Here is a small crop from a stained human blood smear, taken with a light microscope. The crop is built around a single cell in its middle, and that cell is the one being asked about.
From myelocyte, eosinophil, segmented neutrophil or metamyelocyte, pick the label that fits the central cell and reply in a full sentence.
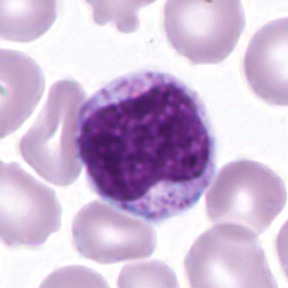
Here the cell in the middle is a metamyelocyte.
